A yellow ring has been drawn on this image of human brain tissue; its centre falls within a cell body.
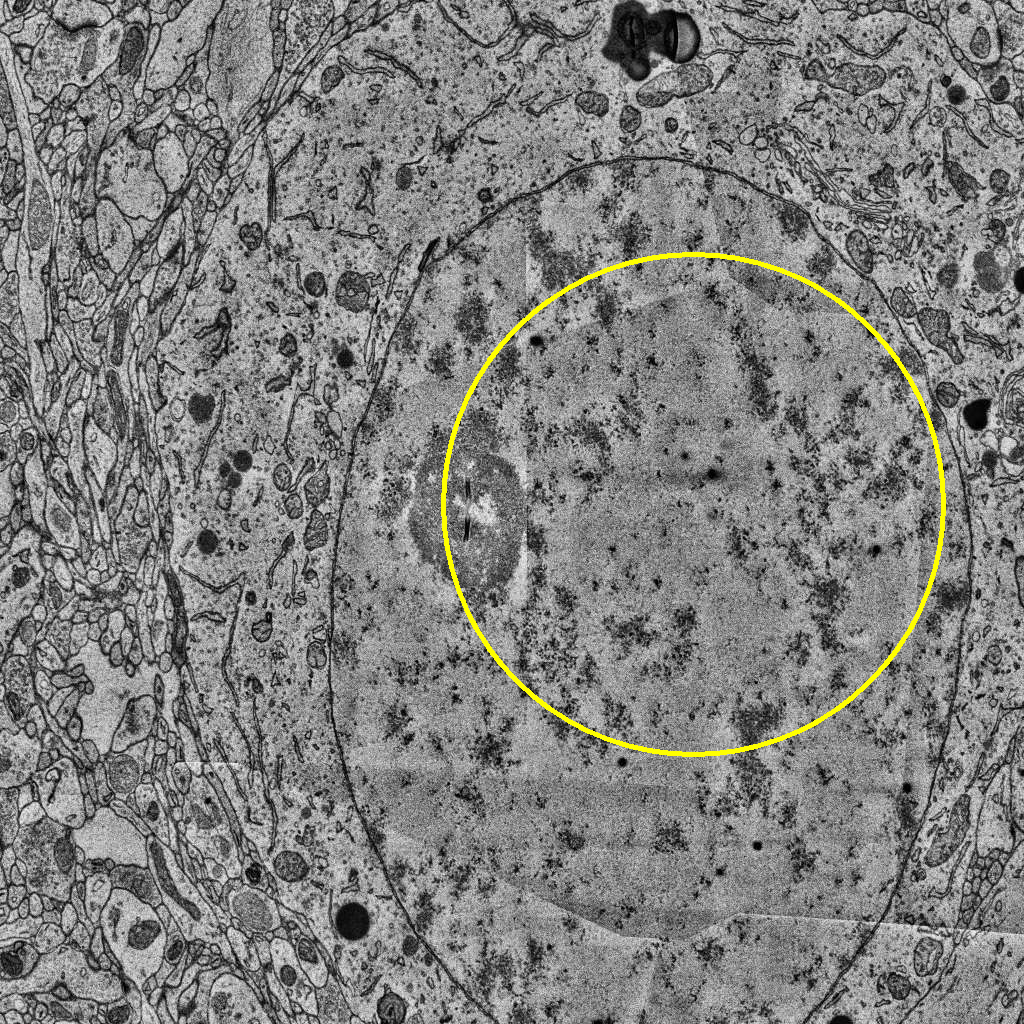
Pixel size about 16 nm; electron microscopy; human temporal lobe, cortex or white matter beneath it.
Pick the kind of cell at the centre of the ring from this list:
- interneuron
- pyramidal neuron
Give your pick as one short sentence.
The centre of the ring holds a pyramidal neuron.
